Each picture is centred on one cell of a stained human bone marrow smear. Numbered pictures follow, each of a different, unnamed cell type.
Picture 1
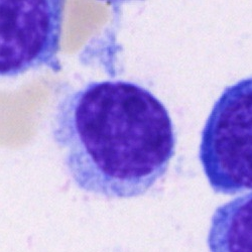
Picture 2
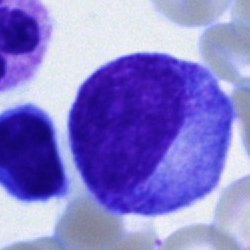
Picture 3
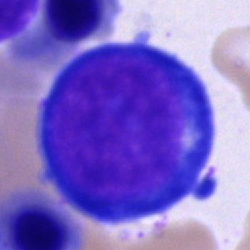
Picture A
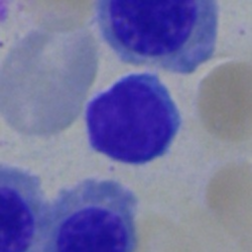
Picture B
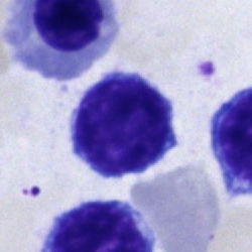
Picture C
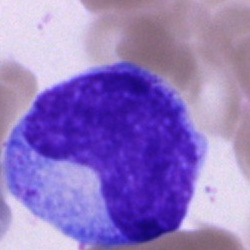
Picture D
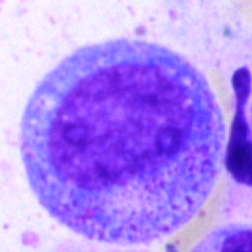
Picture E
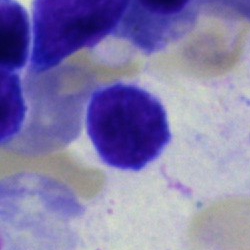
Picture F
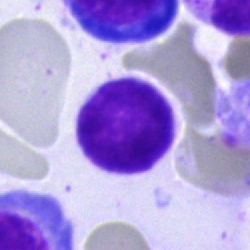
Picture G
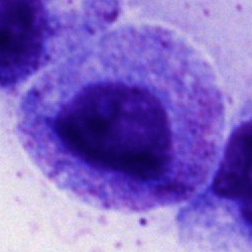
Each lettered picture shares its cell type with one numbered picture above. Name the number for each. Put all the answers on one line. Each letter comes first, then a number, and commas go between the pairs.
A 1, B 1, C 2, D 2, E 1, F 1, G 2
